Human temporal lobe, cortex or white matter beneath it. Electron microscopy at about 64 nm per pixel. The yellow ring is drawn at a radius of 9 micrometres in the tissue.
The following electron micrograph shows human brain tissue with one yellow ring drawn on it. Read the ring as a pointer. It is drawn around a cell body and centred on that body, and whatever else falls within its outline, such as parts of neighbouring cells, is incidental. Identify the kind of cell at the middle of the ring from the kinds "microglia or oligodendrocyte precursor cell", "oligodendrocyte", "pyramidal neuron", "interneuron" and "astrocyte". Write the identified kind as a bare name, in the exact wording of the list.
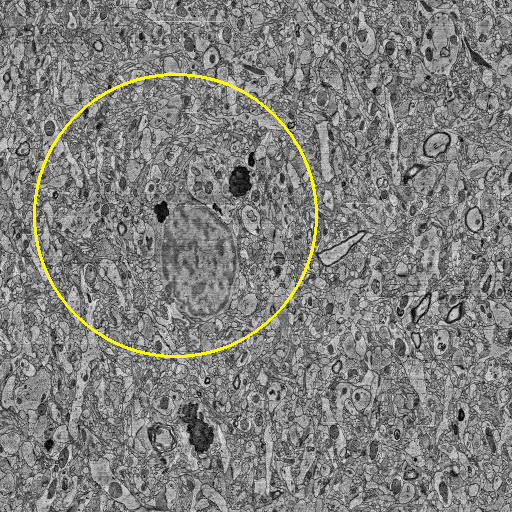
oligodendrocyte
